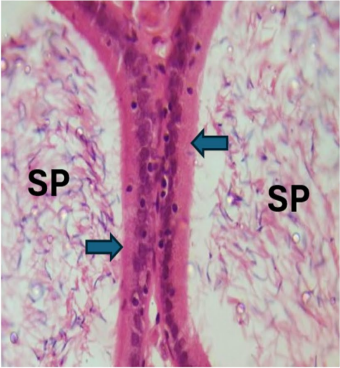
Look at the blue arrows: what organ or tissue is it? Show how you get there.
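Columnar epithelial lining of the epididymis. The arrows point to a pink band of tall cells with rows of dark purple nuclei. The band borders lumens filled with thin purple sperm-like filaments.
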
